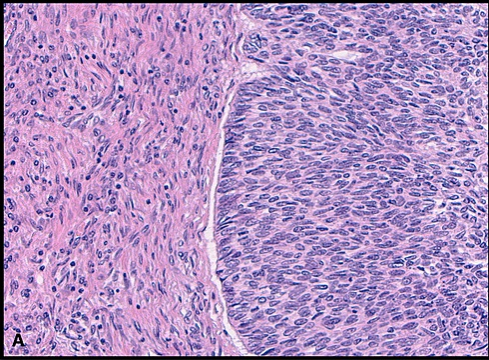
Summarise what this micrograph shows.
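This is basal cell carcinoma. A densely cellular tumor nest on the right lies beside a looser pink fibrous stroma on the left. The tumor cells are basaloid, with crowded, elongated to oval purple nuclei and very little cytoplasm. They are packed in streaming sheets. At the nest's edge the nuclei line up side by side in a palisade. A thin, empty white cleft separates the tumor nest from the stroma, a retraction artefact typical of this tumor. The stroma holds scattered spindle-shaped fibroblast nuclei set in wavy pink collagen.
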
